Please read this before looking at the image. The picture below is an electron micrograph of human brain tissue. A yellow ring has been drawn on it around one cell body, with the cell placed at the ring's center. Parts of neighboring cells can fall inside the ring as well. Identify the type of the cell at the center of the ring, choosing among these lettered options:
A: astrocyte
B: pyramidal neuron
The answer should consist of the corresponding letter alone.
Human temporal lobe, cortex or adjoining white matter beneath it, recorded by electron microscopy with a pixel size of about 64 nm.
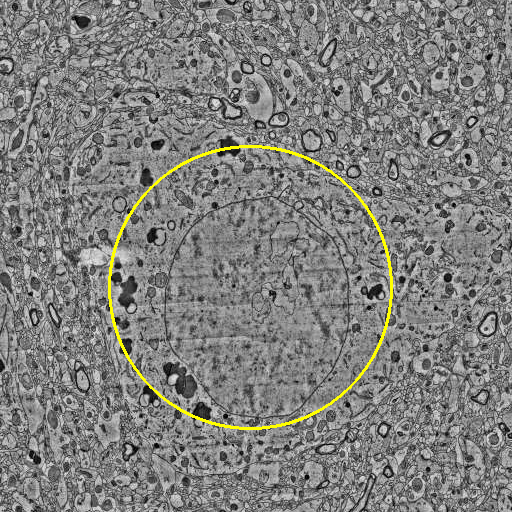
B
